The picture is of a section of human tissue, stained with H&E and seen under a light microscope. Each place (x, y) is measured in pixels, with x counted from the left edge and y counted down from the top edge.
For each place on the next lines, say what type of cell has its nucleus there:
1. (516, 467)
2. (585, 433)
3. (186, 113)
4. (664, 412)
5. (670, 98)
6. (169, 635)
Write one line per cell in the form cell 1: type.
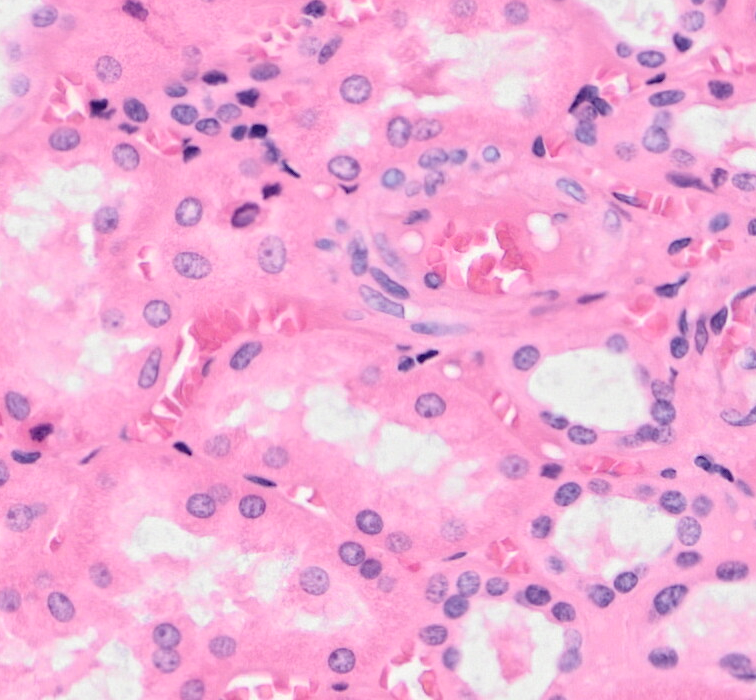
cell 1: proximal tubule cell
cell 2: collecting duct cell
cell 3: collecting duct cell
cell 4: collecting duct cell
cell 5: collecting duct cell
cell 6: proximal tubule cell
